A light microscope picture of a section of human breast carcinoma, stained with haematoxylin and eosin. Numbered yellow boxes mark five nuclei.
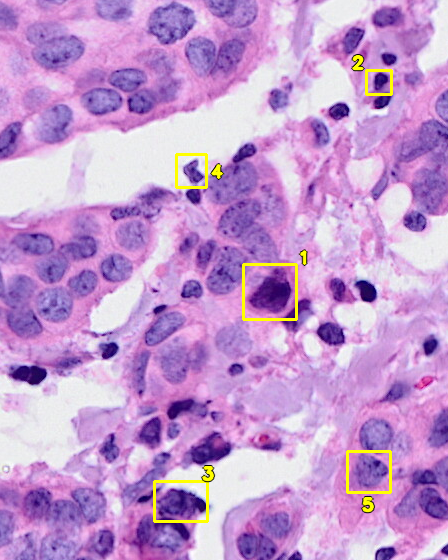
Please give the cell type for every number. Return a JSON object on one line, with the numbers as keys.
{"1": "carcinoma cell", "2": "lymphocyte", "3": "carcinoma cell", "4": "lymphocyte", "5": "carcinoma cell"}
